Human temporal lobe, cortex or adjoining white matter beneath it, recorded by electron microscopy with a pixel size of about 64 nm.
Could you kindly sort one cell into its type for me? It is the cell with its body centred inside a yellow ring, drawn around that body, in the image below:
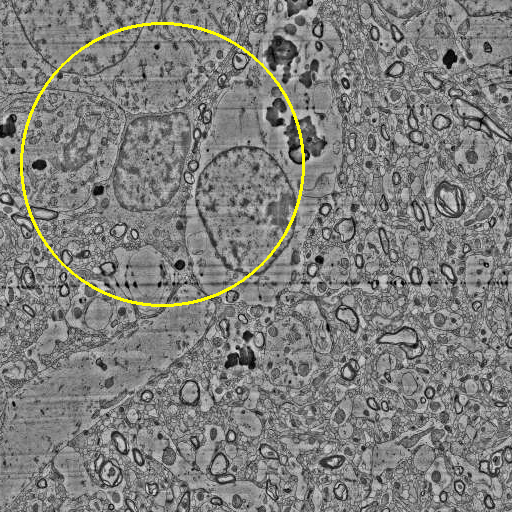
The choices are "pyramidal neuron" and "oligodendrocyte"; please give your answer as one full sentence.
The cell whose body lies centred in the yellow ring here is an oligodendrocyte.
